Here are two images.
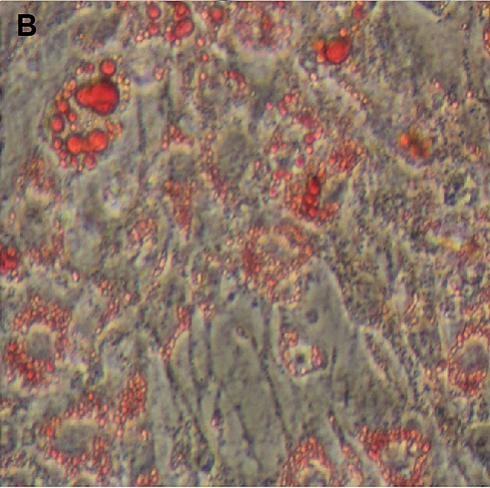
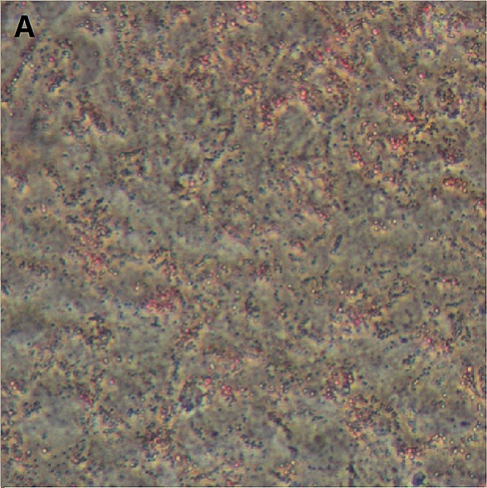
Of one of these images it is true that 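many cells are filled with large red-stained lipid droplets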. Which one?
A: The first image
